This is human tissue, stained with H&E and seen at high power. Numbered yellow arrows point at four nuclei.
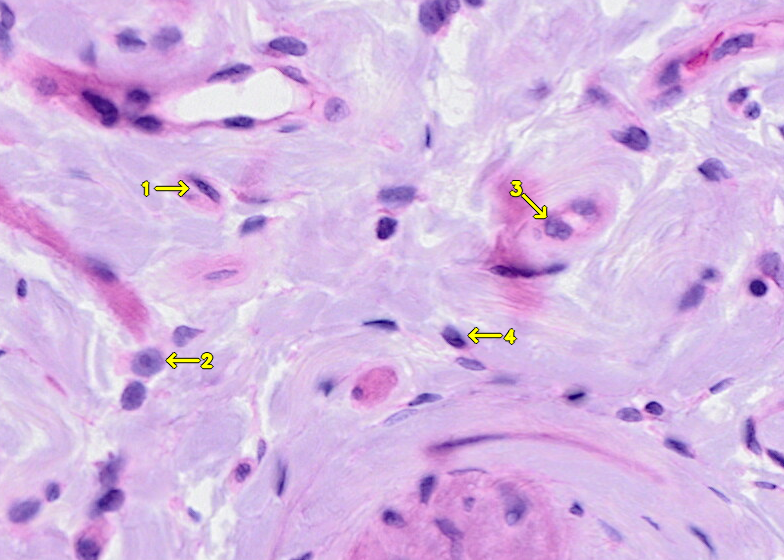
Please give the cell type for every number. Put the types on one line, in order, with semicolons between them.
endothelial cell; fibroblast; endothelial cell; fibroblast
